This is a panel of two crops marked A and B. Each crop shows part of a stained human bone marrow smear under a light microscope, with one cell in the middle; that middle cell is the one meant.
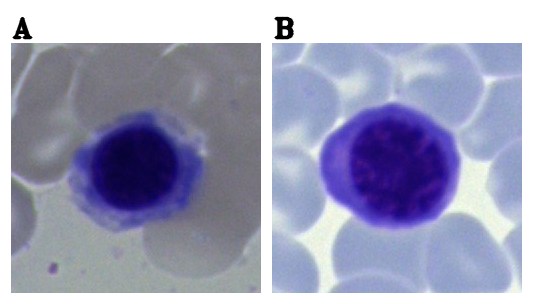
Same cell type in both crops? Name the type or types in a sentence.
Yes, both crops show normoblasts as their central cells.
